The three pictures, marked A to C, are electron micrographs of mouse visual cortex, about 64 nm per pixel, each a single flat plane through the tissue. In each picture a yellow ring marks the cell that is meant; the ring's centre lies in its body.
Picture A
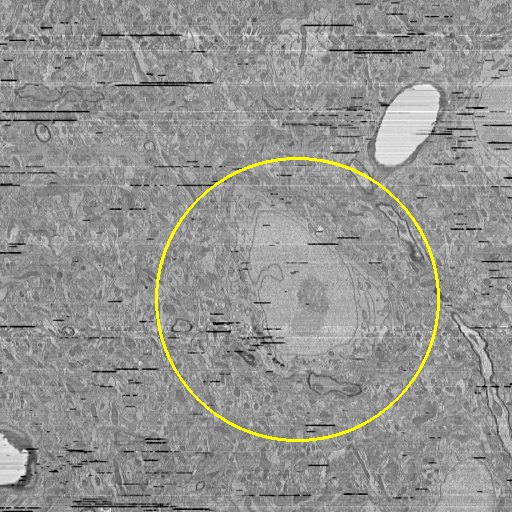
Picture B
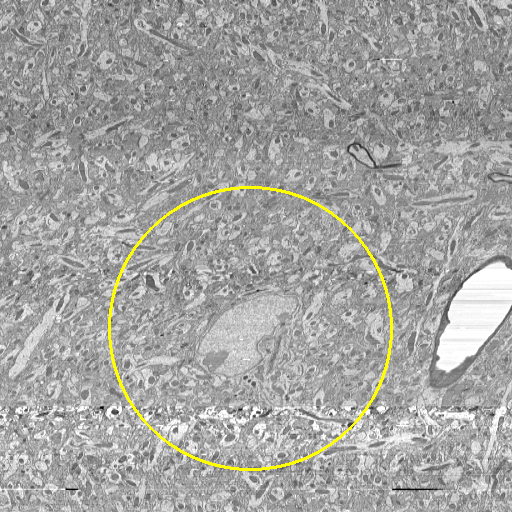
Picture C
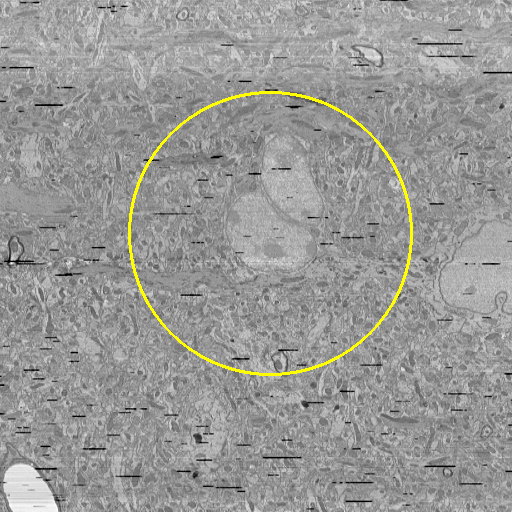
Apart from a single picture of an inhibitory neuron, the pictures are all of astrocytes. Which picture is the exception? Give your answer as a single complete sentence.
The picture with the inhibitory neuron is A.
